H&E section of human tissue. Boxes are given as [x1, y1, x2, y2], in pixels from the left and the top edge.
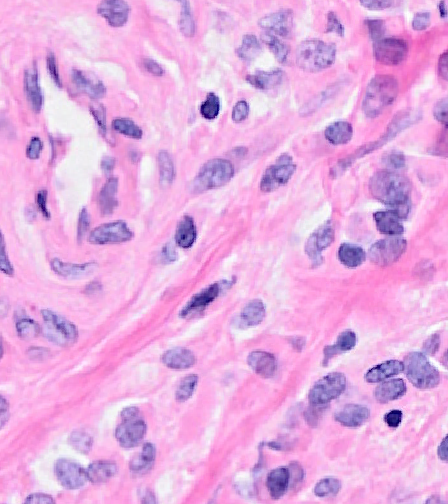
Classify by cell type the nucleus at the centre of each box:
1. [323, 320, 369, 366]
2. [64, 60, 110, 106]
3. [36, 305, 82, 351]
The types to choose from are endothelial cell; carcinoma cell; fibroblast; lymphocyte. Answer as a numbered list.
1. lymphocyte
2. endothelial cell
3. endothelial cell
